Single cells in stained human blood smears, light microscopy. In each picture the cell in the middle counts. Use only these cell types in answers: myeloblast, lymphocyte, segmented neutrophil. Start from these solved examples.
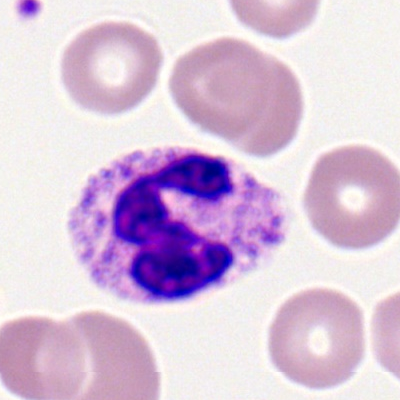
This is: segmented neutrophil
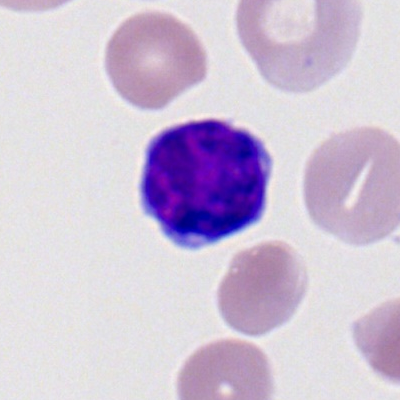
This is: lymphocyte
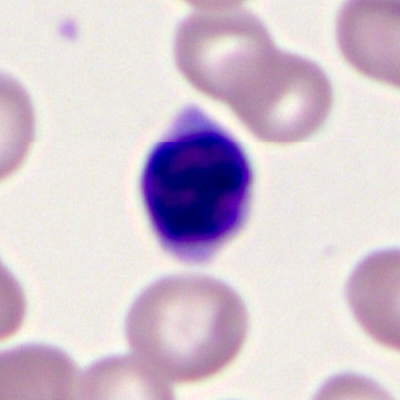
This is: lymphocyte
